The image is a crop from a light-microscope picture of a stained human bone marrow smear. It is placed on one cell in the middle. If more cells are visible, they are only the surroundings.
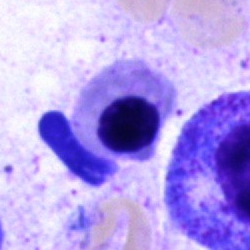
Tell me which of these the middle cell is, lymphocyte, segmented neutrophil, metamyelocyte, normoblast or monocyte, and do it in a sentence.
The middle position in this crop is taken by a normoblast.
